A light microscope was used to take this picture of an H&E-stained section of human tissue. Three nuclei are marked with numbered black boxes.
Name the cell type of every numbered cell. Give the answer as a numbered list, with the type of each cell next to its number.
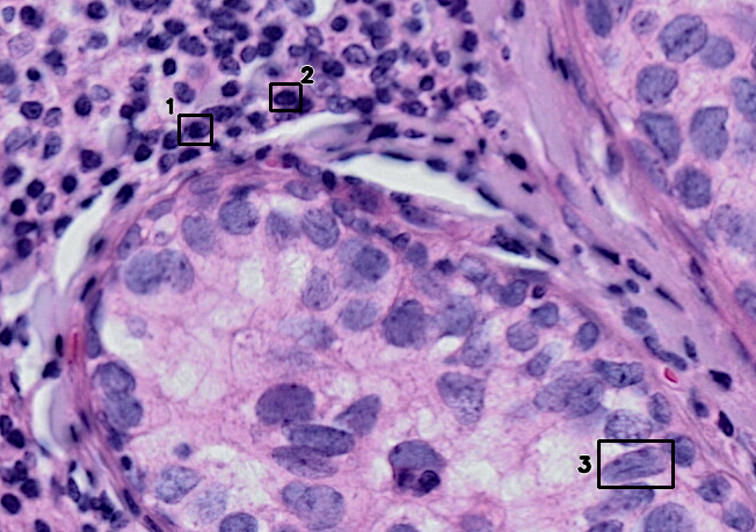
1. lymphocyte
2. lymphocyte
3. carcinoma cell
